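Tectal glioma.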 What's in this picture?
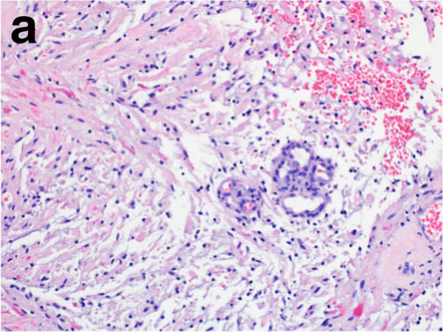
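A pink fibrillary tumor of bland spindled and elongated cells with small oval nuclei, alternating looser and more compact areas, with pools of red blood cells at the top and a pink hyalinized vessel wall at the lower right. In the center a small tuft of crowded vessels lined by dark purple nuclei sits within the tumor. This is the picture of a pilocytic astrocytoma with sclerotic vessels and glomeruloid microvascular proliferation.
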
